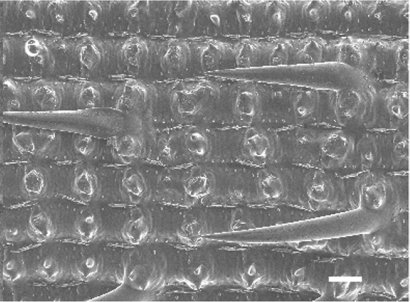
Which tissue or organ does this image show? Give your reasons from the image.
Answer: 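Cells lie in regular longitudinal rows. Each cell bears a raised rounded projection on its surface. Long tapering pointed hairs lie along the surface.
Outer epidermis.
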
